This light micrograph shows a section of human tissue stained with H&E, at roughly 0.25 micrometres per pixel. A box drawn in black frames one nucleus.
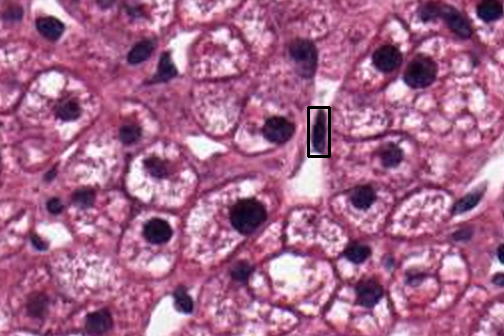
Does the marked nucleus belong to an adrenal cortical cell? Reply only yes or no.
no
